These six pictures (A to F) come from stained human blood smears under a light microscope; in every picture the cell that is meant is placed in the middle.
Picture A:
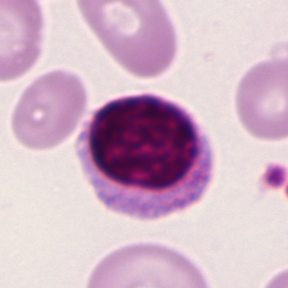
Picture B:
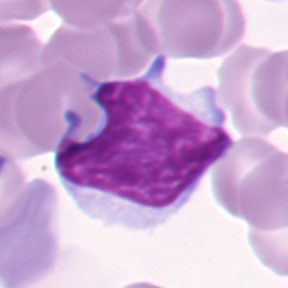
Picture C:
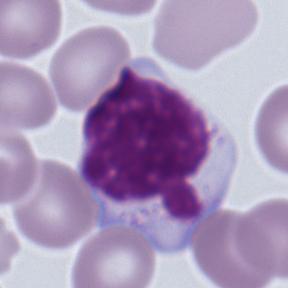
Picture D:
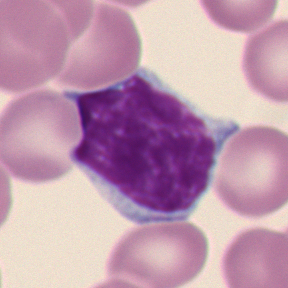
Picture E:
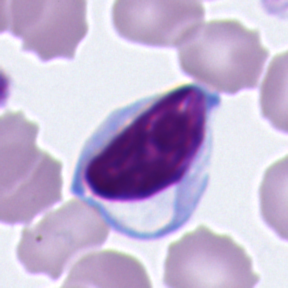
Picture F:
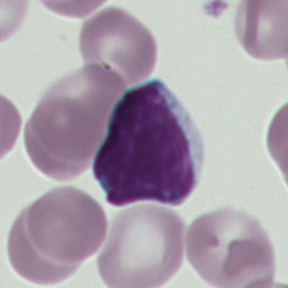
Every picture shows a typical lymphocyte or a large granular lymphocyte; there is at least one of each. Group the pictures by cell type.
A: large granular lymphocyte
B: typical lymphocyte
C: large granular lymphocyte
D: typical lymphocyte
E: typical lymphocyte
F: typical lymphocyte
